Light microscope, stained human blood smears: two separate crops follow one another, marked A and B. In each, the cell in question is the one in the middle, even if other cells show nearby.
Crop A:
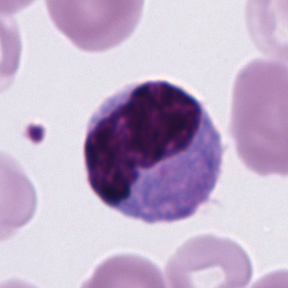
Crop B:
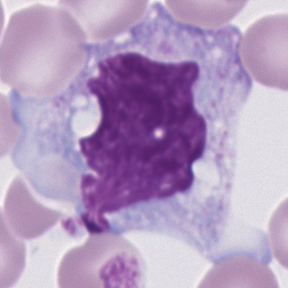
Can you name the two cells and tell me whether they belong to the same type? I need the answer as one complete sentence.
Yes, monocytes are what the two crops show.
